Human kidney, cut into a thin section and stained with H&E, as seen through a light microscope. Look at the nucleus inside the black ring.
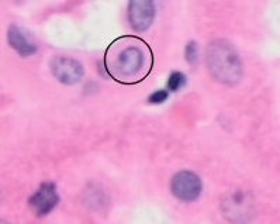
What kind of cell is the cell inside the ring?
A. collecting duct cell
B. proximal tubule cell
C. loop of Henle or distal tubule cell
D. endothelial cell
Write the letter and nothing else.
A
